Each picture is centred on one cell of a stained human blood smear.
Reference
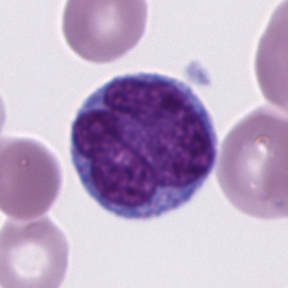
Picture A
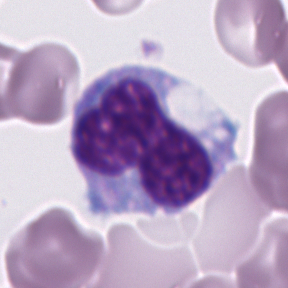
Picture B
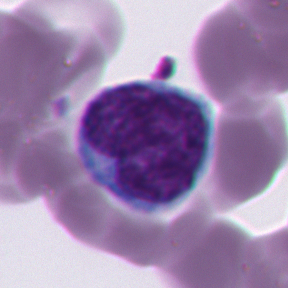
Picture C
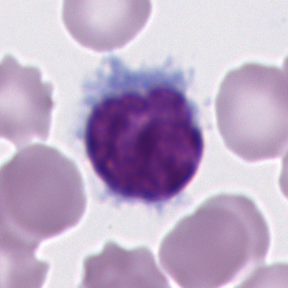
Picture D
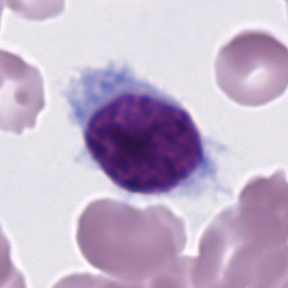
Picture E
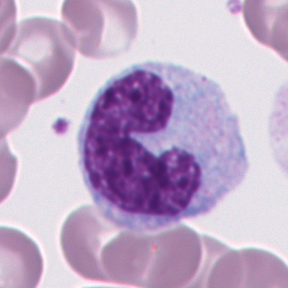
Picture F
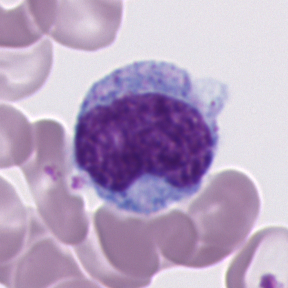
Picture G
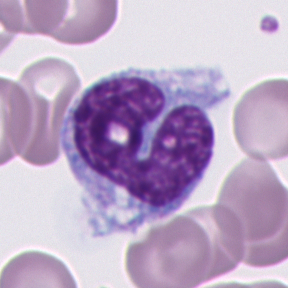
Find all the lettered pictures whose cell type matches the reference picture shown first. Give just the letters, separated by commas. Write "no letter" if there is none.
A, B, E, F, G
